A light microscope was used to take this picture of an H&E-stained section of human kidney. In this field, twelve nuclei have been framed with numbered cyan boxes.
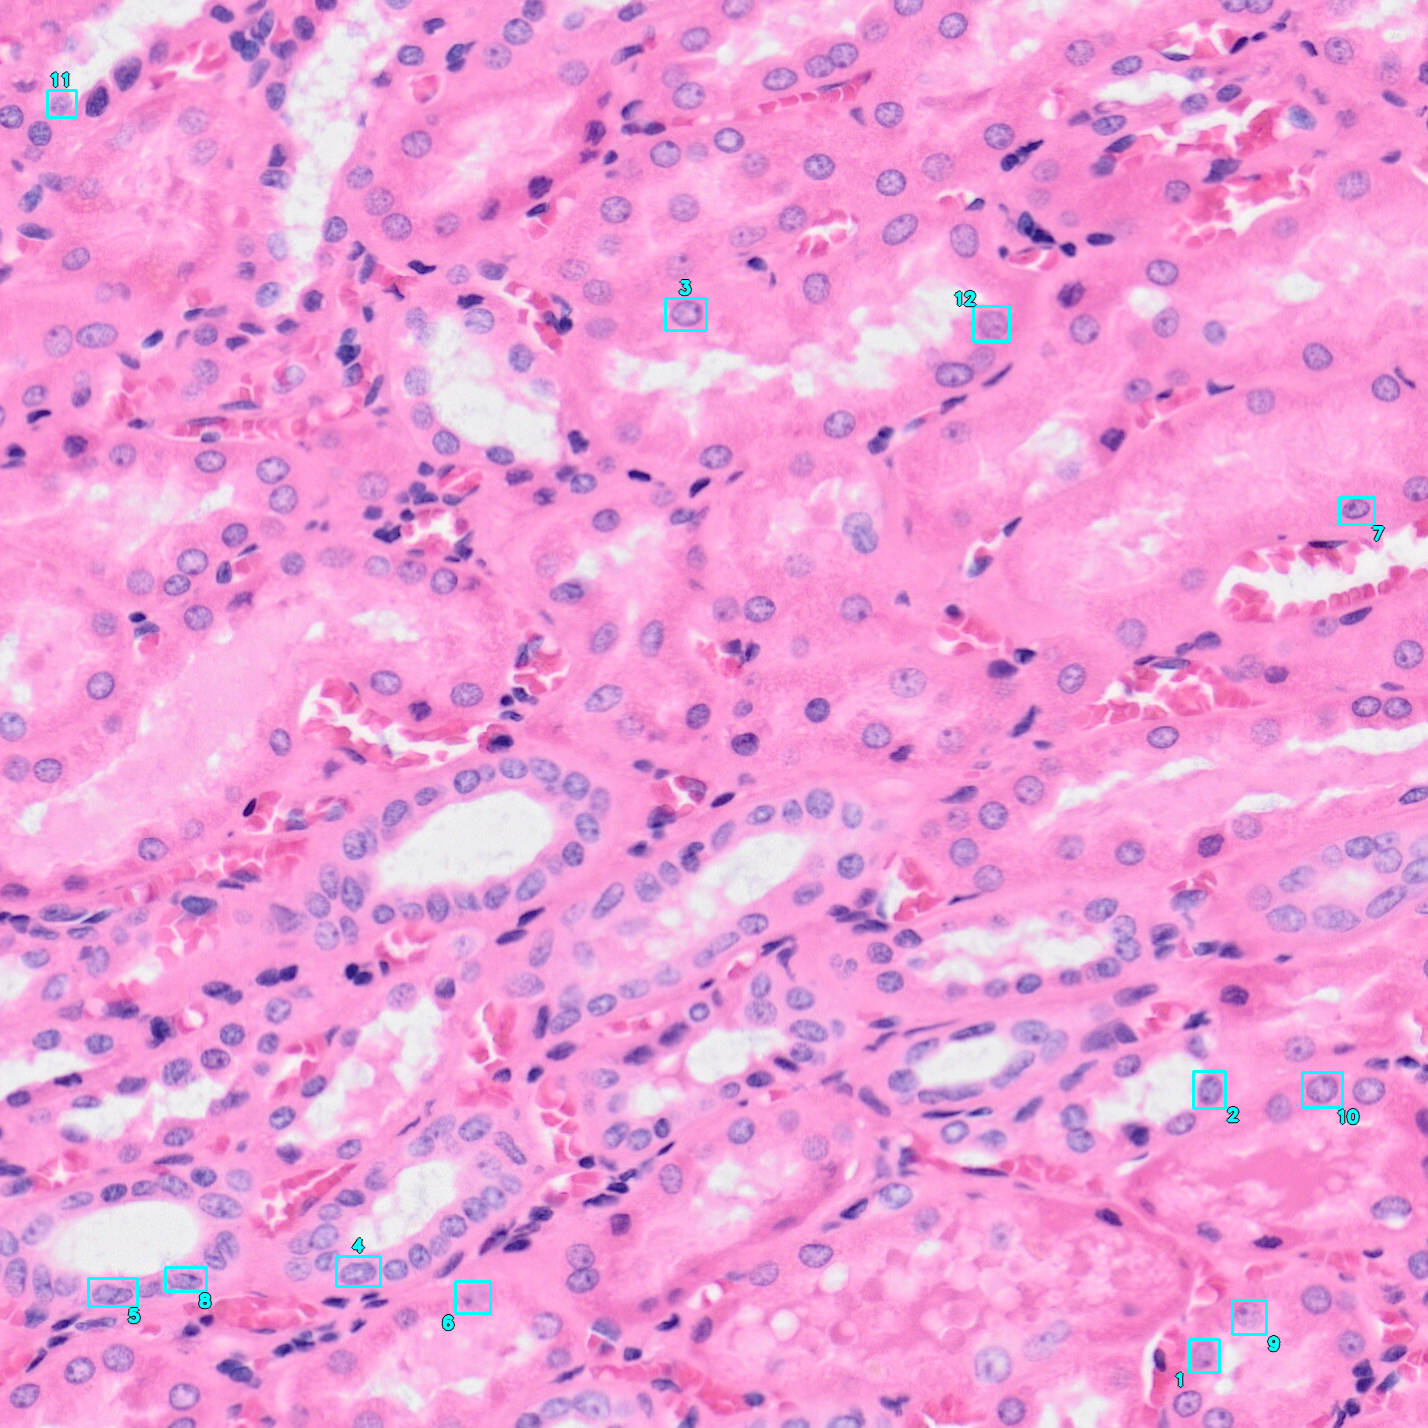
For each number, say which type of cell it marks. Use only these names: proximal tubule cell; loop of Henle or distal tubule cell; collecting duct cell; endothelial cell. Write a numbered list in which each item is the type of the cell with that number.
1. proximal tubule cell
2. loop of Henle or distal tubule cell
3. proximal tubule cell
4. collecting duct cell
5. collecting duct cell
6. proximal tubule cell
7. proximal tubule cell
8. collecting duct cell
9. proximal tubule cell
10. proximal tubule cell
11. loop of Henle or distal tubule cell
12. proximal tubule cell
